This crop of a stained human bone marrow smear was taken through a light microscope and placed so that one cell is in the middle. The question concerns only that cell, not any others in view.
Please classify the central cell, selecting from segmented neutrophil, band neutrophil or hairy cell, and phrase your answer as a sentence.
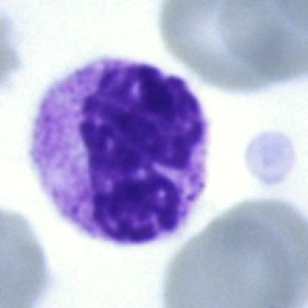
Located at the centre of the crop is a band neutrophil.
